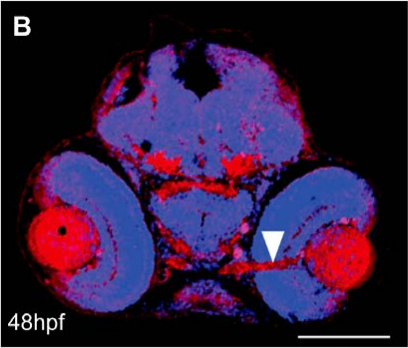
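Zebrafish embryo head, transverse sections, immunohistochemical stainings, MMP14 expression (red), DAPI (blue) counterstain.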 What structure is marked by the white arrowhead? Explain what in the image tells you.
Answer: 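A red strand leaves the back of the right eye and runs medially toward the brain.
Answer: optic nerve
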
